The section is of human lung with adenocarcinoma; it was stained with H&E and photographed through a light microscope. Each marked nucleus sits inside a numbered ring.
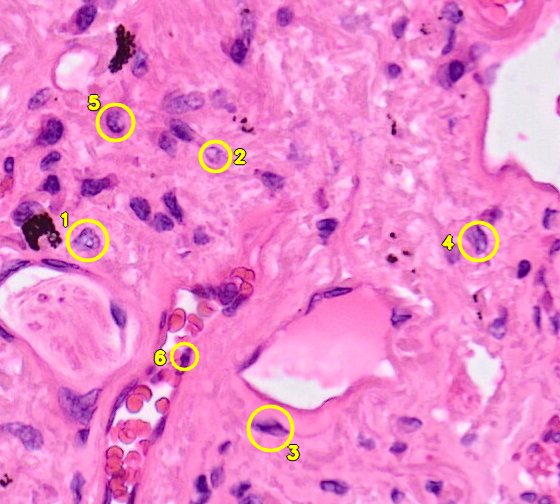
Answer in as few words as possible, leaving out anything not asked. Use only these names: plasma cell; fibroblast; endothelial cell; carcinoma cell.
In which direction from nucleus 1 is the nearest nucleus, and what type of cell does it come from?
a fibroblast, below and to the left of nucleus 1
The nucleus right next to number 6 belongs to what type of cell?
endothelial cell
